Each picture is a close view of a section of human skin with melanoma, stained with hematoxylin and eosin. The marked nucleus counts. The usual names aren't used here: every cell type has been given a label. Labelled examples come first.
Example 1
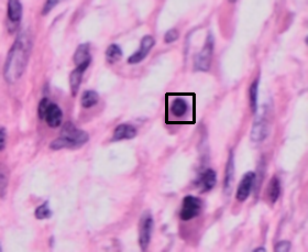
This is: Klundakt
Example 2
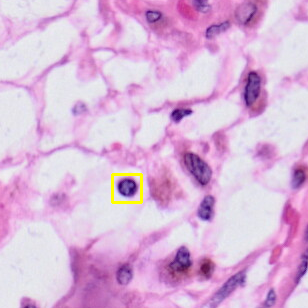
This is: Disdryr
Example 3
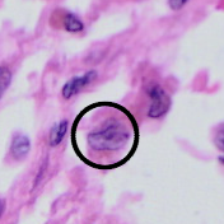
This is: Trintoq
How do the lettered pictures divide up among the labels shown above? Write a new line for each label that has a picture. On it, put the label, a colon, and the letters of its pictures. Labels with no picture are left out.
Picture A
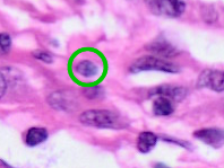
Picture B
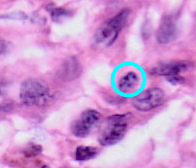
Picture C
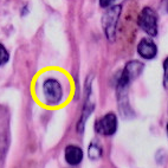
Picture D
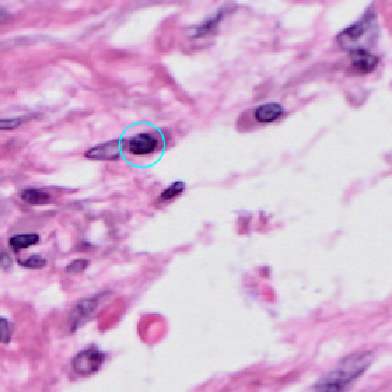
Klundakt: D
Disdryr: A, B, C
